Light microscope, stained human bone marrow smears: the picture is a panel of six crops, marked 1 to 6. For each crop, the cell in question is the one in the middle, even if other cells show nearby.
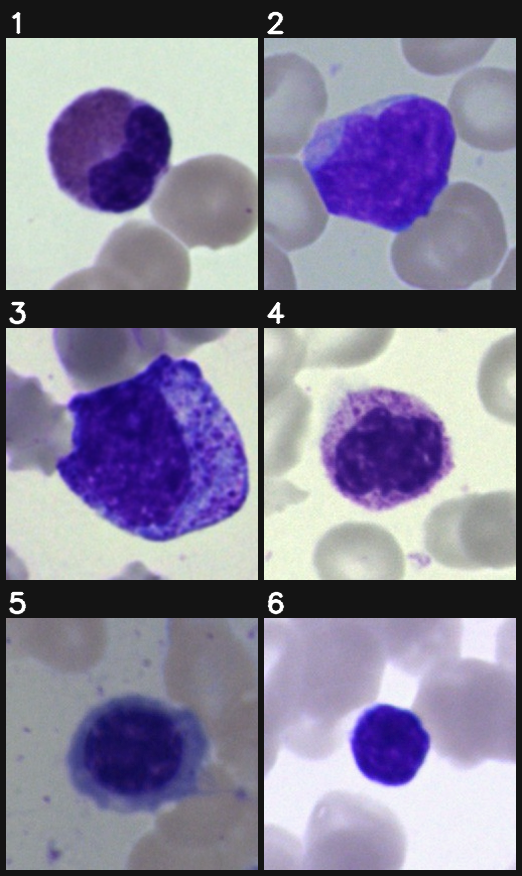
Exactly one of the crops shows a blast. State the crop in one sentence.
The one showing a blast is the crop labelled 2.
